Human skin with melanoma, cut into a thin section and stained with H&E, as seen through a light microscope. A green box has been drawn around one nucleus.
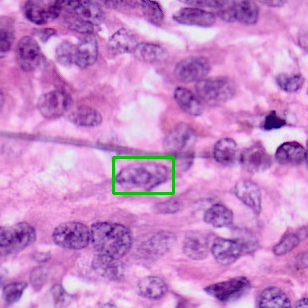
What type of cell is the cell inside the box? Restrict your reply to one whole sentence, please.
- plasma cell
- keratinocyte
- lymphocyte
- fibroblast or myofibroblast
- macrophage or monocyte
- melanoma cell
By cell type, the cell inside the box is a melanoma cell.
